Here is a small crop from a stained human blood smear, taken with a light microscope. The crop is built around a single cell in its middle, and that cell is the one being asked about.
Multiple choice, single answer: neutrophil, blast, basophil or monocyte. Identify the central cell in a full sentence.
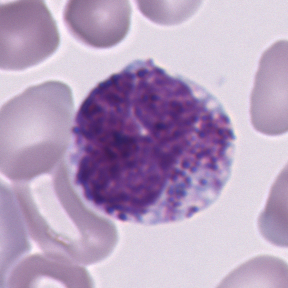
As for the central cell, it is a basophil.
